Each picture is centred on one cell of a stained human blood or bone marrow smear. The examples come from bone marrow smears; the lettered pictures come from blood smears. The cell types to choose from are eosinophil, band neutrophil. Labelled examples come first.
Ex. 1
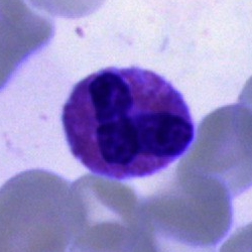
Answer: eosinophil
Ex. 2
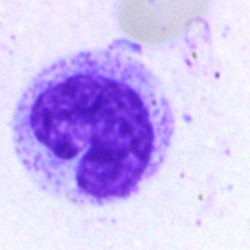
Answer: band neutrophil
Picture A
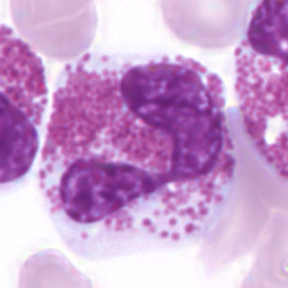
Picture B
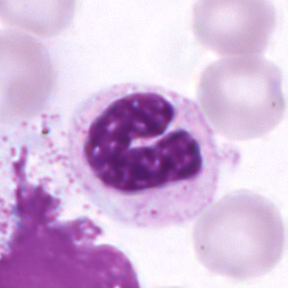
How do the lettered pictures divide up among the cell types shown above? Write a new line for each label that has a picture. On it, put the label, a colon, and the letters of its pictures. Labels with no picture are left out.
eosinophil: A
band neutrophil: B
